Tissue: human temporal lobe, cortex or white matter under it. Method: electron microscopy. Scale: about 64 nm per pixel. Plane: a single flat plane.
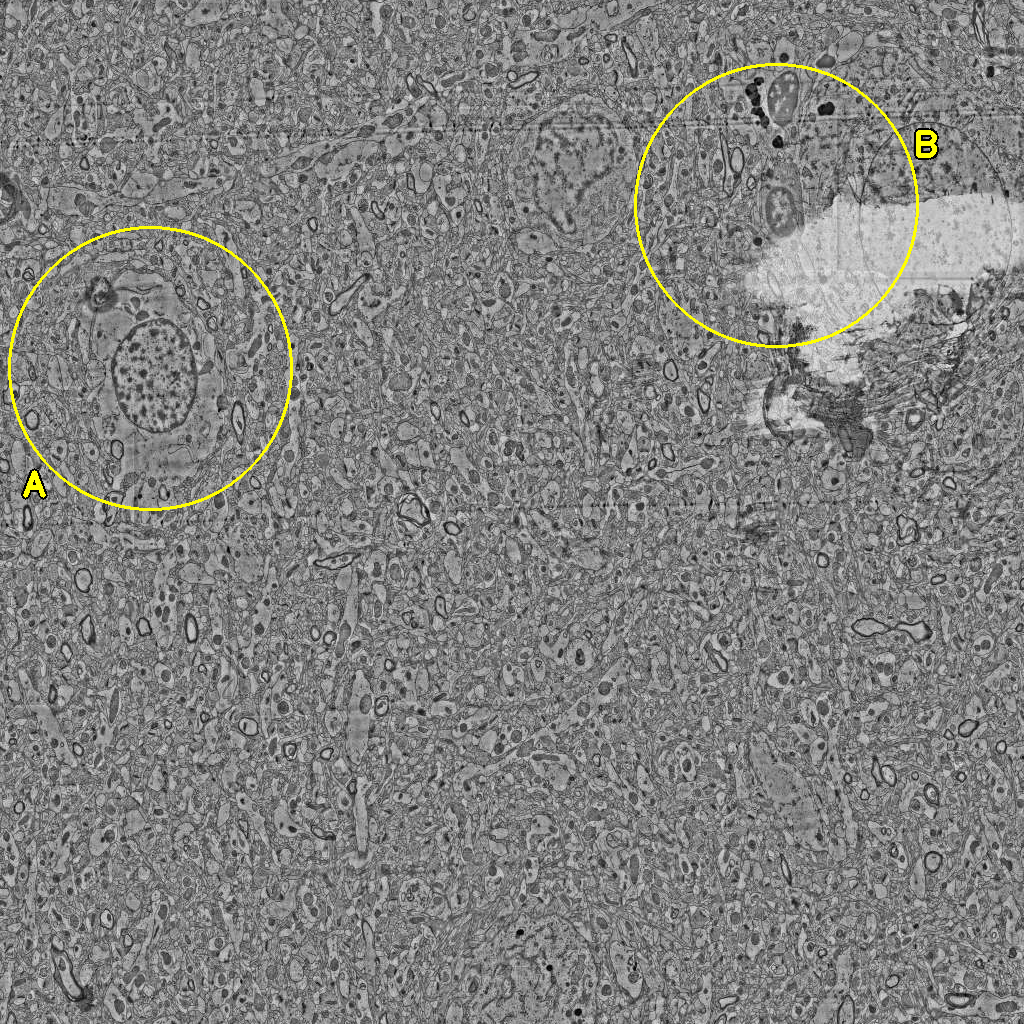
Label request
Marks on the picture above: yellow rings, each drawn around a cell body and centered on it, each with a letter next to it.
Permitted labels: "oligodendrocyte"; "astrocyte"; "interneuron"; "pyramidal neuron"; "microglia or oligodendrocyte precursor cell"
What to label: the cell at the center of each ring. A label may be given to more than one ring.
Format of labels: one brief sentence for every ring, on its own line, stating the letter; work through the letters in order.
The cell at the center of ring A is an astrocyte.
The cell at the center of ring B is an oligodendrocyte.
